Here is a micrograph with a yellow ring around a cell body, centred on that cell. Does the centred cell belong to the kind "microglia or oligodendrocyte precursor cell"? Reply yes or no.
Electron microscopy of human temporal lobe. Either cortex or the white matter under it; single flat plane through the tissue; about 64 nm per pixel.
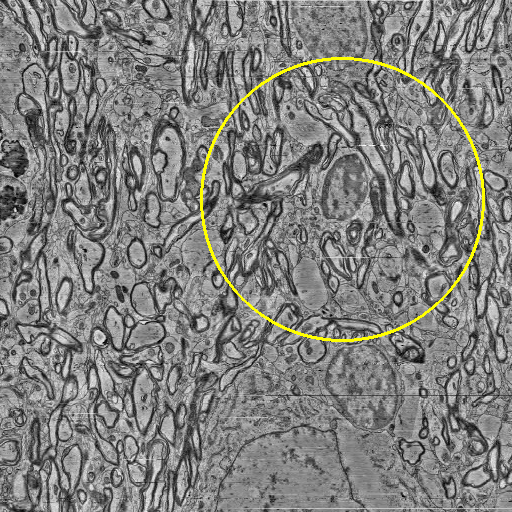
yes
